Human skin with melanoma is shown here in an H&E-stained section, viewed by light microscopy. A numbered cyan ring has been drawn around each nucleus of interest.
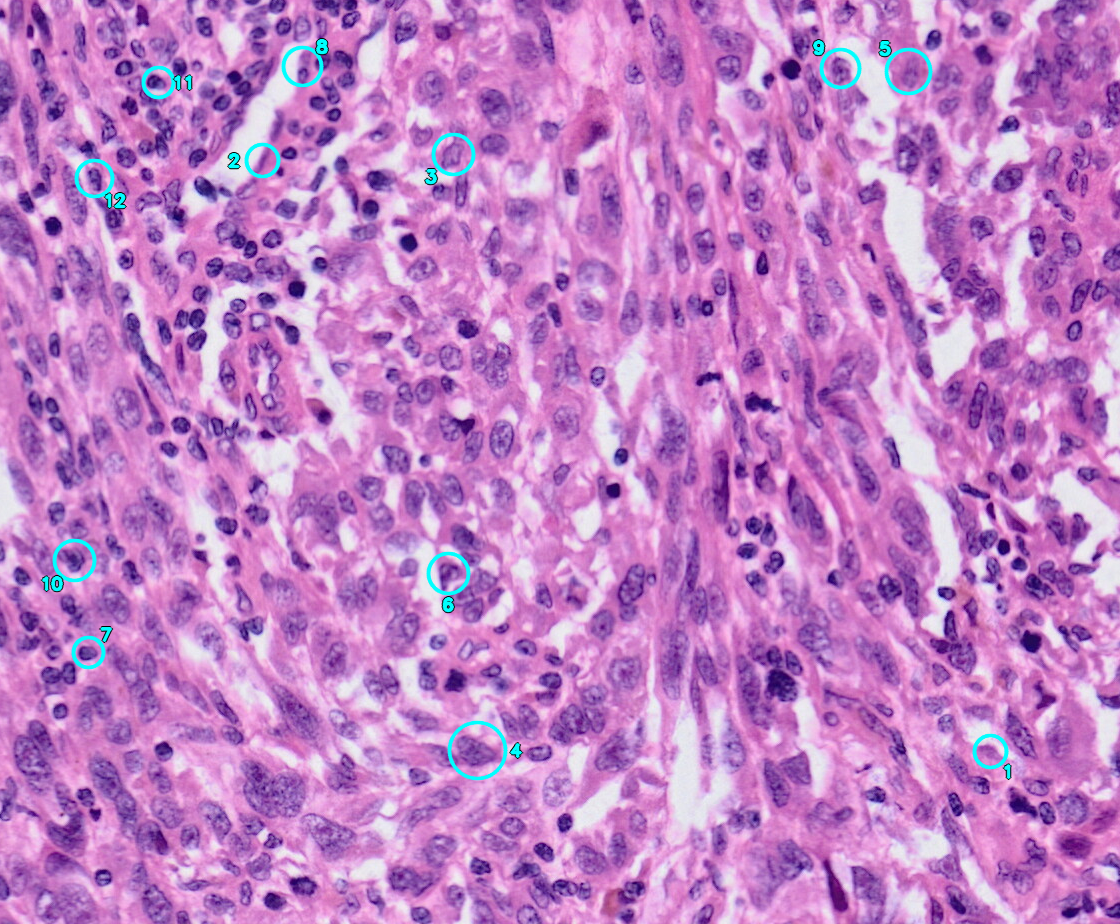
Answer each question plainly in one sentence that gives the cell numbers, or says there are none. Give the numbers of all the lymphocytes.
Cells that were given the numbers 7, 10, 11 and 12 are lymphocytes.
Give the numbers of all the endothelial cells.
The cells that have been numbered 2 and 8 are endothelial cells.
